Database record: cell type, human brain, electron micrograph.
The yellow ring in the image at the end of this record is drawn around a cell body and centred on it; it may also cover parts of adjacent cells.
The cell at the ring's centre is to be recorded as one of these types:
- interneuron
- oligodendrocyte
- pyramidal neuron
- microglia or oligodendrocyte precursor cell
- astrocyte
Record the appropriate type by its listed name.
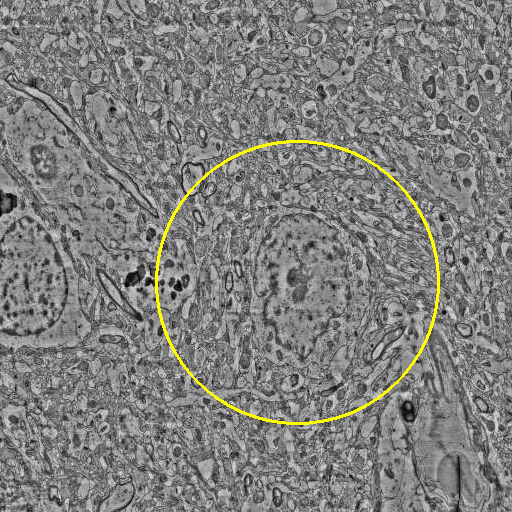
interneuron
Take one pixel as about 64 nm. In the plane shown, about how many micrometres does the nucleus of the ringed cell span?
The nucleus of the ringed cell is approximately 9 by 6 micrometres in this plane.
